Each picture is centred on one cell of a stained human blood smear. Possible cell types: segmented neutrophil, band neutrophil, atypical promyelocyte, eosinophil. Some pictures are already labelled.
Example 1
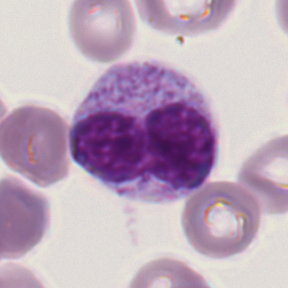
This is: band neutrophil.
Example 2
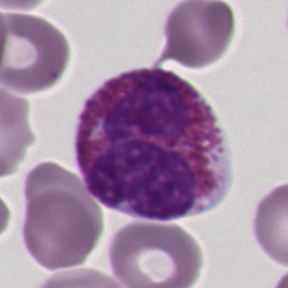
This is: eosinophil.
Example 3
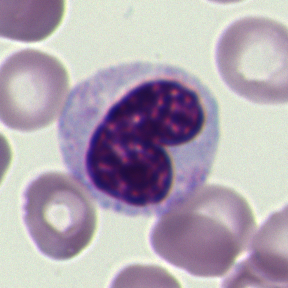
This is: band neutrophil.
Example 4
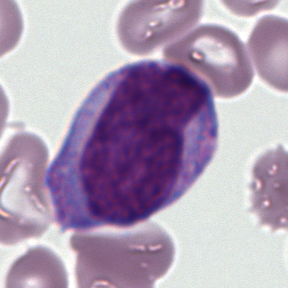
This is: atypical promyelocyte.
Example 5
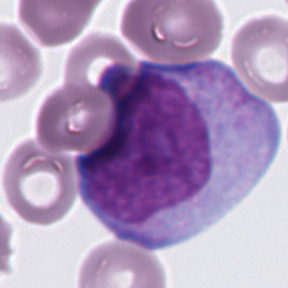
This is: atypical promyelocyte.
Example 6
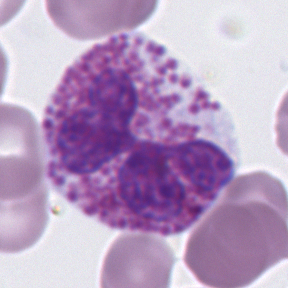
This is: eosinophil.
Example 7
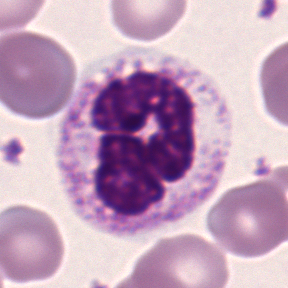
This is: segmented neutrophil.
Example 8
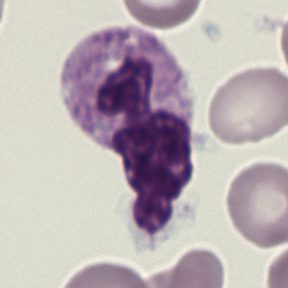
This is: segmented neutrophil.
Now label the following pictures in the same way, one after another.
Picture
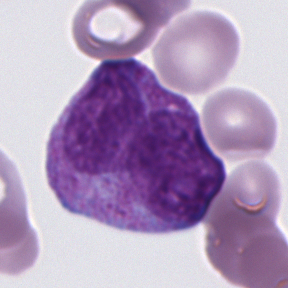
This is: atypical promyelocyte.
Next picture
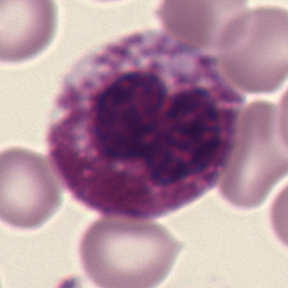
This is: eosinophil.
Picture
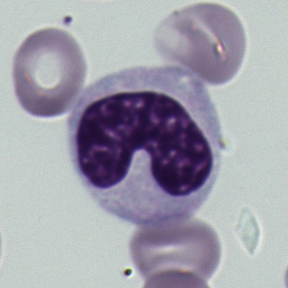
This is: band neutrophil.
